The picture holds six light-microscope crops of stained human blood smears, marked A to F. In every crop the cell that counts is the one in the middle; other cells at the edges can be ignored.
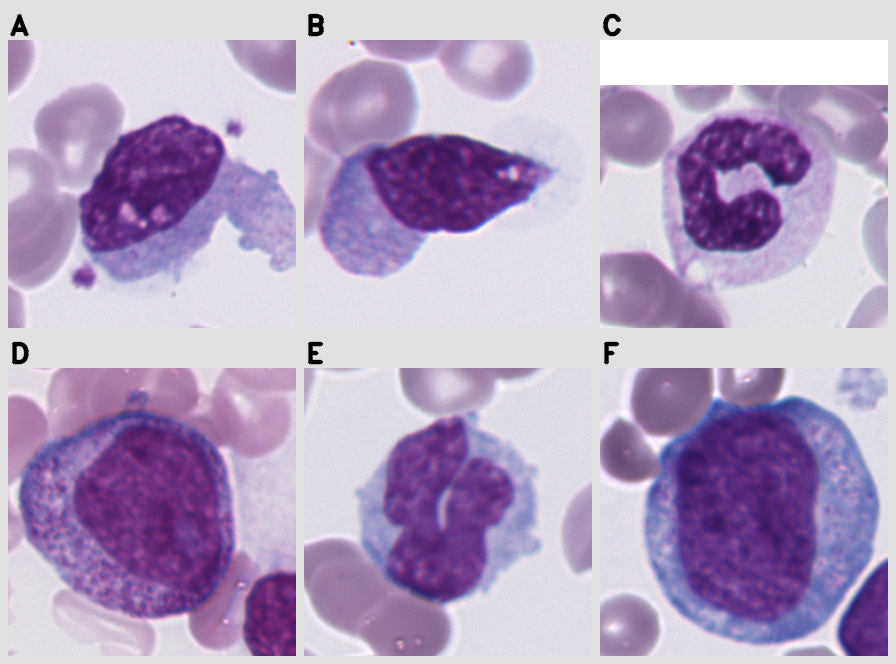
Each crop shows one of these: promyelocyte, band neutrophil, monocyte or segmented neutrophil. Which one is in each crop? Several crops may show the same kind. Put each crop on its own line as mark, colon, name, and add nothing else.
A: monocyte
B: monocyte
C: band neutrophil
D: promyelocyte
E: monocyte
F: promyelocyte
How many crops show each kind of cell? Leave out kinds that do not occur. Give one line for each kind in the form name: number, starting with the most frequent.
monocyte: 3
promyelocyte: 2
band neutrophil: 1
